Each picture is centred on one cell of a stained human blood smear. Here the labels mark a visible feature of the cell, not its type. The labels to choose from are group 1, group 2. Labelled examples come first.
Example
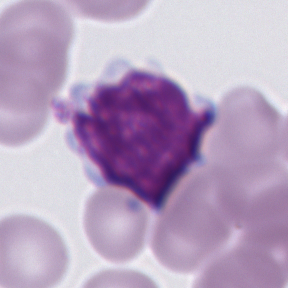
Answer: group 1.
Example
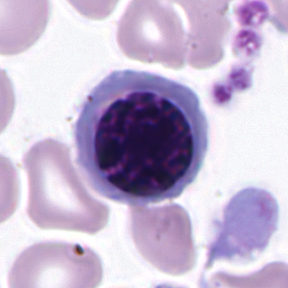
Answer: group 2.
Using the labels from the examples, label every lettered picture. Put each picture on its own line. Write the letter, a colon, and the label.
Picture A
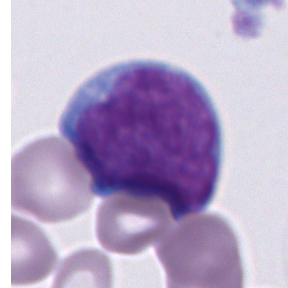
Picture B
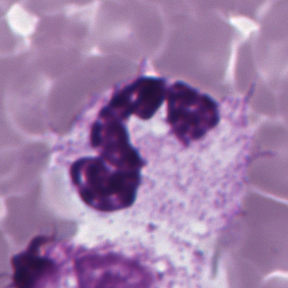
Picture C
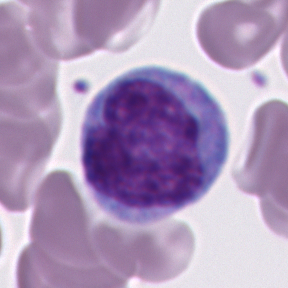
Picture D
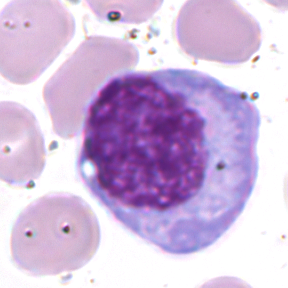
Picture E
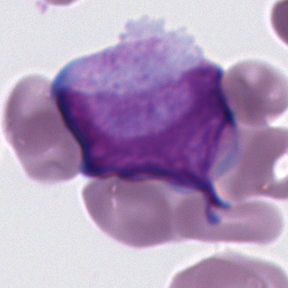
A: group 2.
B: group 1.
C: group 2.
D: group 2.
E: group 1.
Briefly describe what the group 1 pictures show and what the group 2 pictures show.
Seen in group 1: ragged outline or projections; seen in group 2: smooth outline.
